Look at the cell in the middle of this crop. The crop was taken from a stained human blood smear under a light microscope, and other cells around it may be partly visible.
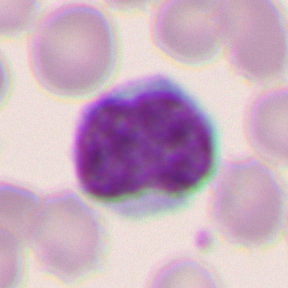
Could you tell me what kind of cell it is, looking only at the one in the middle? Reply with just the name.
typical lymphocyte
